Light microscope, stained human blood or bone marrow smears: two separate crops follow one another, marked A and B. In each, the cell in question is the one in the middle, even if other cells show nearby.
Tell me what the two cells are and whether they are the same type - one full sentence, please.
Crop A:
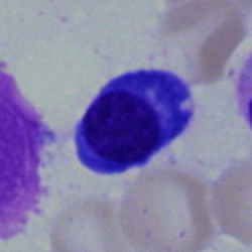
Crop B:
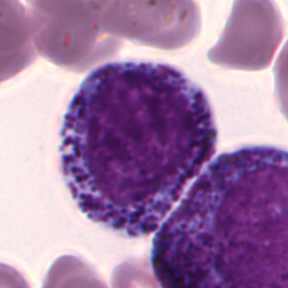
No, crop A contains a plasma cell, and crop B contains a promyelocyte.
